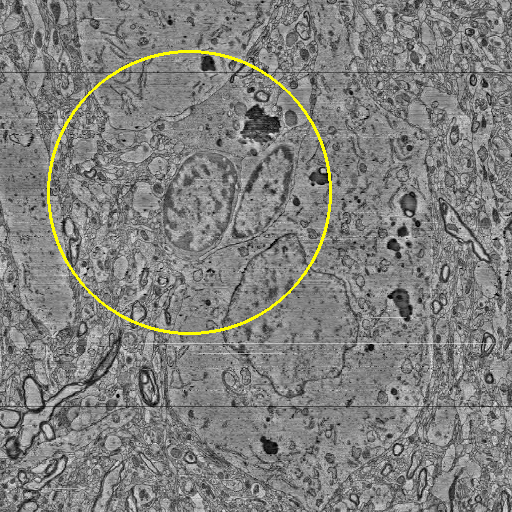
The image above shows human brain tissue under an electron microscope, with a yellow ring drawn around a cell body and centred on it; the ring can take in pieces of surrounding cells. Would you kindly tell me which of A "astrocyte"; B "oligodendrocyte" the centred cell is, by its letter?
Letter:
B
